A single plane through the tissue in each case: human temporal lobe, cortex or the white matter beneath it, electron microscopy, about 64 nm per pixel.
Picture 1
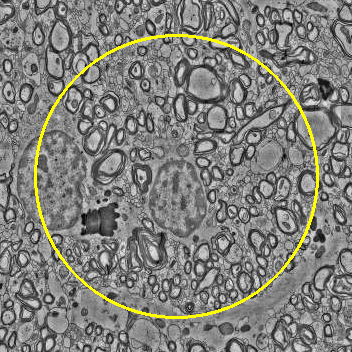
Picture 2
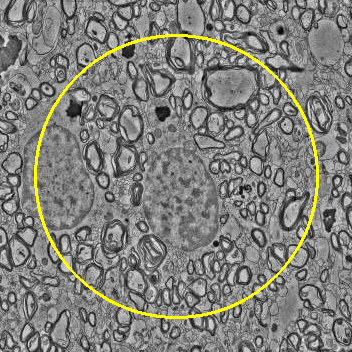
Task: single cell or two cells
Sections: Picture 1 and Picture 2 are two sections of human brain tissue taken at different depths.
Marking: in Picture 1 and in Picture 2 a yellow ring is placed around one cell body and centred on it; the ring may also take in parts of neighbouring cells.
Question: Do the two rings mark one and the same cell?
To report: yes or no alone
yes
